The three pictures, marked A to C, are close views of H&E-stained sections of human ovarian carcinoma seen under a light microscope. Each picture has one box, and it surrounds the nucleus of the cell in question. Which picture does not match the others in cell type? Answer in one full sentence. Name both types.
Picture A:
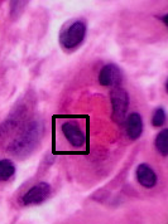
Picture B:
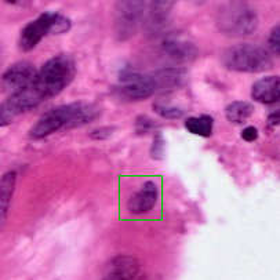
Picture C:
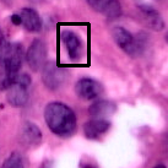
The others show “macrophages or monocytes”, but picture A shows an endothelial cell.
